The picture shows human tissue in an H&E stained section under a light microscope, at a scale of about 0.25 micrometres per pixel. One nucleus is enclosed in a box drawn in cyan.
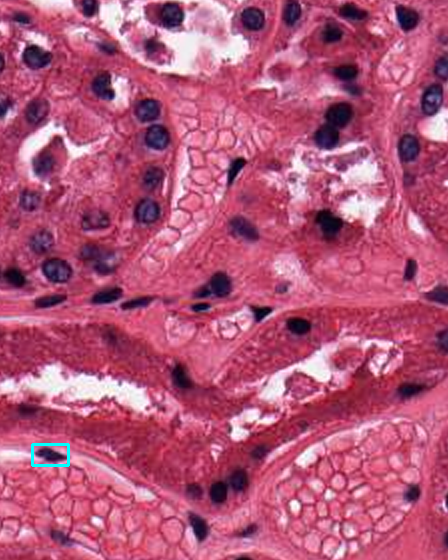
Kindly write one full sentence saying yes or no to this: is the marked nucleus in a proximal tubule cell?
No, the marked nucleus is the nucleus of a supporting cell rather than of a proximal tubule cell.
